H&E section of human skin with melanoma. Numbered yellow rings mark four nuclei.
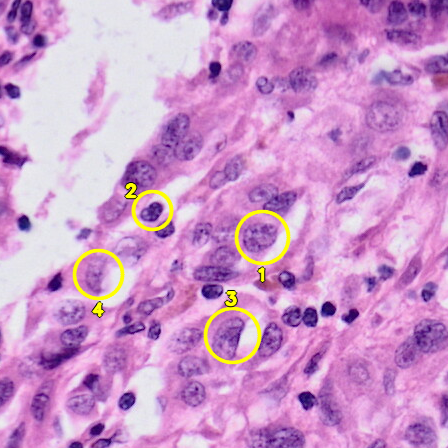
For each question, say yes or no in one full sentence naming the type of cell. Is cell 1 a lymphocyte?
No, the cell marked 1 is a melanoma cell rather than a lymphocyte.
